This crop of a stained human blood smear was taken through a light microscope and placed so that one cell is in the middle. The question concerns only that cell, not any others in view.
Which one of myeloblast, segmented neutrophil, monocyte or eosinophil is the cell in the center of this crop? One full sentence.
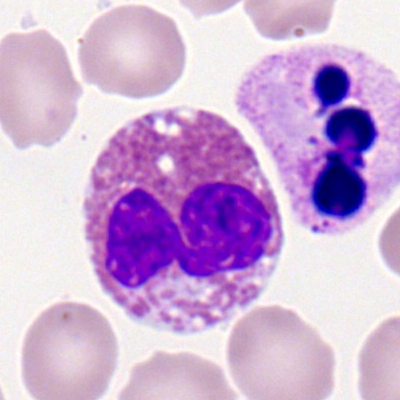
As for the central cell, it is an eosinophil.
